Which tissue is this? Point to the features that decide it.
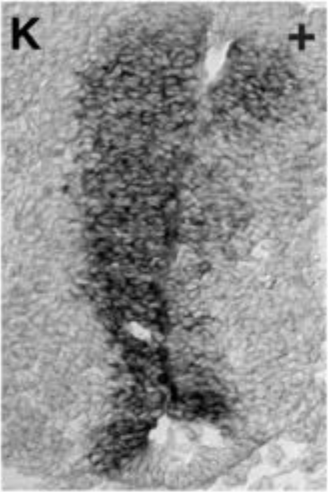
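A transverse section of a bilaterally symmetric tube of tissue. A narrow slit-like central lumen runs dorsoventrally along the midline. Dark staining lines the tissue next to the central lumen. The answer: neural tubes.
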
